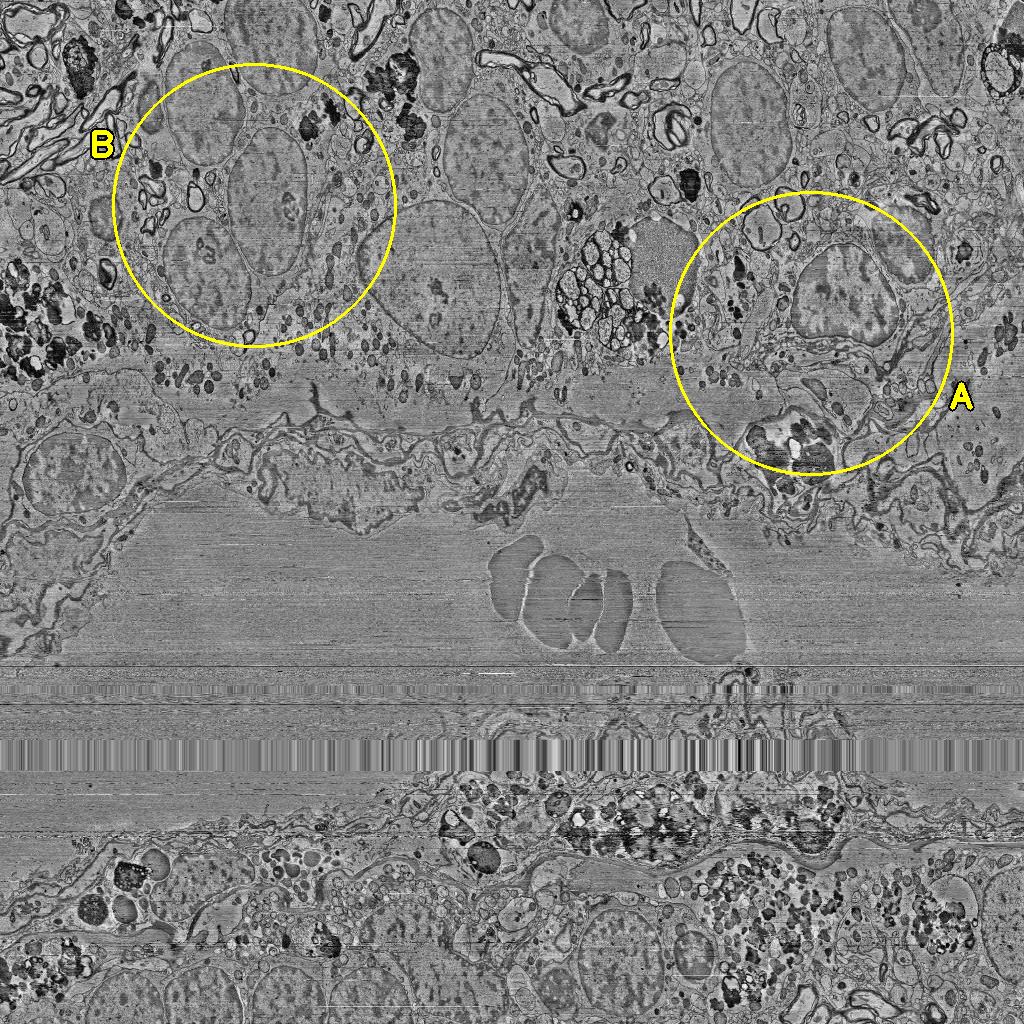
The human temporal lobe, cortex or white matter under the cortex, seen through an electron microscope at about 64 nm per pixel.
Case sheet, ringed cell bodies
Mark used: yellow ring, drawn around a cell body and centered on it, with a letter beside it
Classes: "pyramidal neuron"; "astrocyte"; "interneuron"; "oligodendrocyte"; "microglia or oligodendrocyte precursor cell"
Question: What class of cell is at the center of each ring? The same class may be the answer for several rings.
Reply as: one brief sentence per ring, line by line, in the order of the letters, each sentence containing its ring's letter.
Ring A has a microglial cell or oligodendrocyte precursor cell at its center.
Ring B has an oligodendrocyte at its center.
